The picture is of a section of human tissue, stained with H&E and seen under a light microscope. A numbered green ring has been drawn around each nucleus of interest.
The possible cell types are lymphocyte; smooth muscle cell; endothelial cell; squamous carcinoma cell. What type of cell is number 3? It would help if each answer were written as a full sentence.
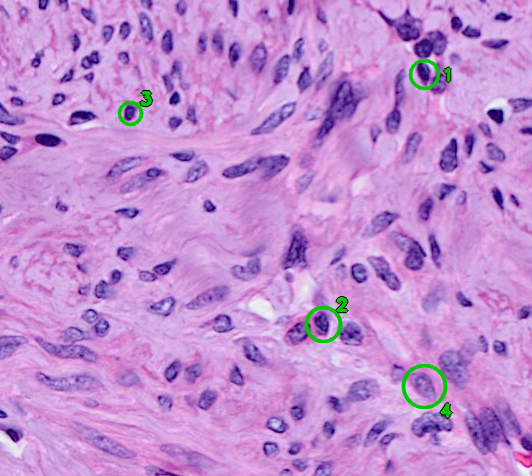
Corresponding to a smooth muscle cell is the cell labelled 3.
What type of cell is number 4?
The cell given label 4 is an endothelial cell.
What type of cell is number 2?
The one labeled 2 is a lymphocyte, to put it simply.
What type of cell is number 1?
Cell 1 in the field of view is a lymphocyte.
